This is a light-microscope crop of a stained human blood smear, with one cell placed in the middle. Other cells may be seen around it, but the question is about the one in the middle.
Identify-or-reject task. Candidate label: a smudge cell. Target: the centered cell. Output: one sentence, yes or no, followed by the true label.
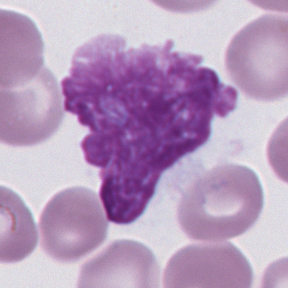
Yes, the middle cell is classified as a smudge cell.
